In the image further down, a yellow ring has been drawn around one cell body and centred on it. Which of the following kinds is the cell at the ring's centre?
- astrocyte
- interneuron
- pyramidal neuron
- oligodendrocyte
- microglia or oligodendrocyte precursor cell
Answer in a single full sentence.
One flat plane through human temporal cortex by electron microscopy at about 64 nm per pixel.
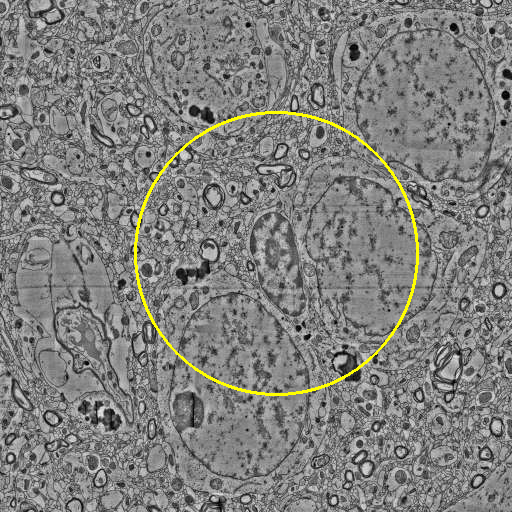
In the picture, the cell sitting at the centre of the yellow ring is a microglial cell or oligodendrocyte precursor cell.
